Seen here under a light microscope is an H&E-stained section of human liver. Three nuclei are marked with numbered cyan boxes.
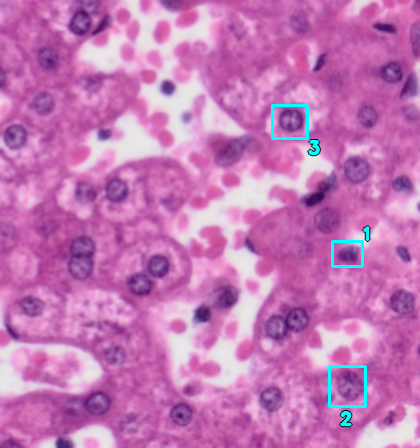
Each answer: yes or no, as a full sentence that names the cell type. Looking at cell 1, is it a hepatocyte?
No, cell 1 does not represent a hepatocyte; it represents a fibroblast or stellate cell.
